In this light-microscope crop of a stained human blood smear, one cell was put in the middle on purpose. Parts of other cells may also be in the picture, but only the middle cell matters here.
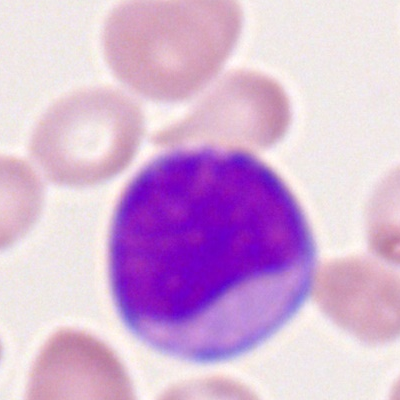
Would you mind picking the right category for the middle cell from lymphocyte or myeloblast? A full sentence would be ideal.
Present in the middle of the crop is a myeloblast.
